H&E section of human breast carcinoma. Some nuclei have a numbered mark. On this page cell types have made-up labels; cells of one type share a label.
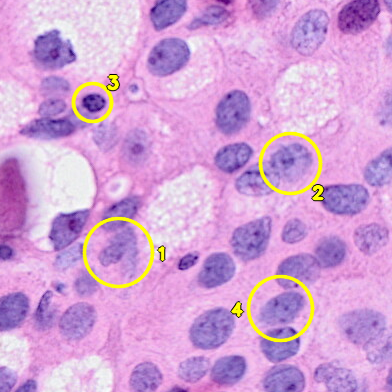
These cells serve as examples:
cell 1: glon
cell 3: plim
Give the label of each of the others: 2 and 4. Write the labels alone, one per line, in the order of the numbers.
glon
glon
